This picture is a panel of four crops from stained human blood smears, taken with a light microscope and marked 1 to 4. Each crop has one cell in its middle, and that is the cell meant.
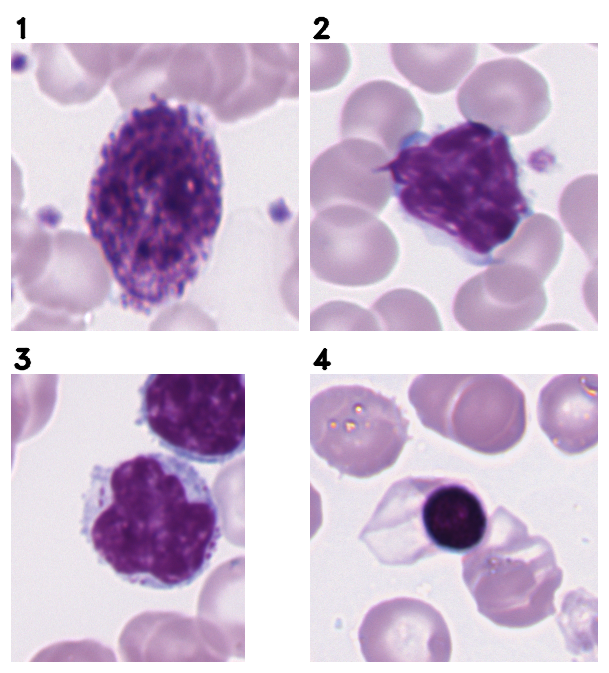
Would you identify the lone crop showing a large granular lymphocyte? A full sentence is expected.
Crop 3, and no other, is the one that shows a large granular lymphocyte.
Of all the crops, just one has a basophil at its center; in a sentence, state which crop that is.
Among the crops provided, a basophil occupies the center of crop 1.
